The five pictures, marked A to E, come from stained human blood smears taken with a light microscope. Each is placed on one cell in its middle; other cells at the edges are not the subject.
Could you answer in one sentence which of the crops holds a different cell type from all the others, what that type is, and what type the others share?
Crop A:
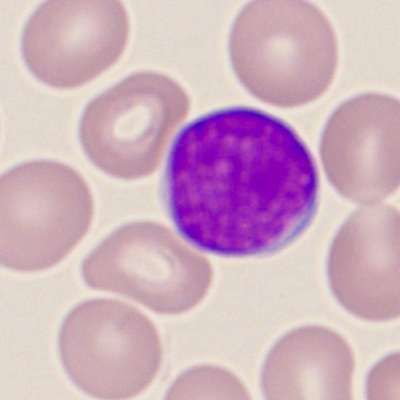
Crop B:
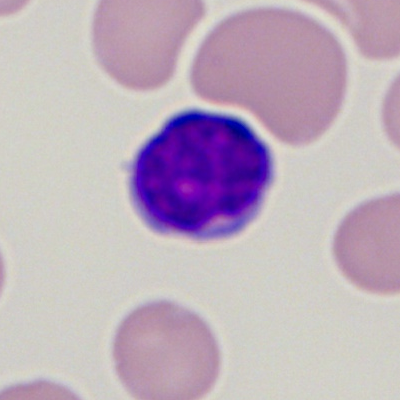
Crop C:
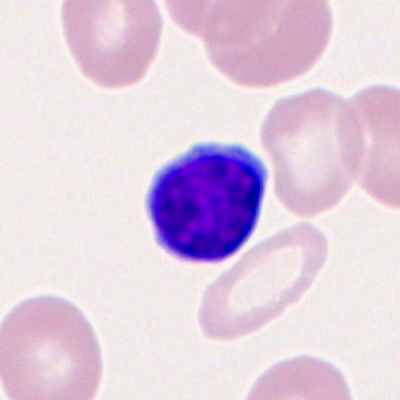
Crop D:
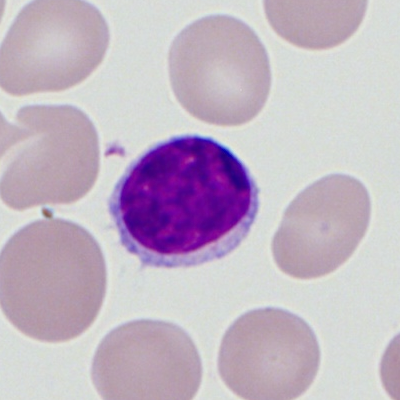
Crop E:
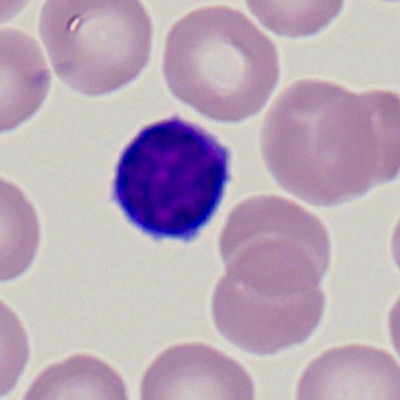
The one crop not showing lymphocytes is crop A, which shows a myeloblast.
